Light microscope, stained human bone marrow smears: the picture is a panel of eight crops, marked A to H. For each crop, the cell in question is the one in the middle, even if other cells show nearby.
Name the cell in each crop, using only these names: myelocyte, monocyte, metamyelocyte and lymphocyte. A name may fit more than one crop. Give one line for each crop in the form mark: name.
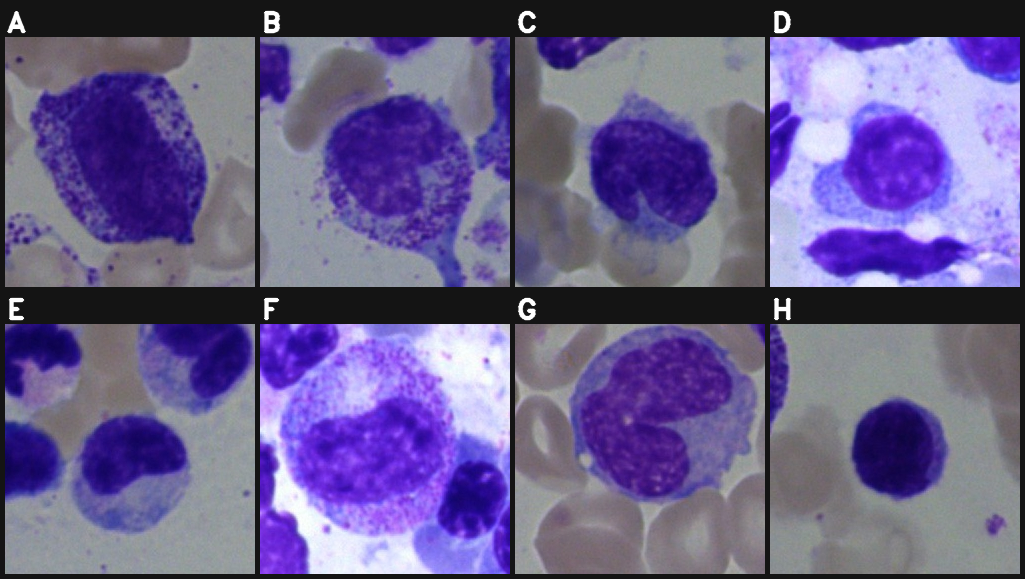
A: myelocyte
B: metamyelocyte
C: monocyte
D: lymphocyte
E: metamyelocyte
F: metamyelocyte
G: monocyte
H: lymphocyte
